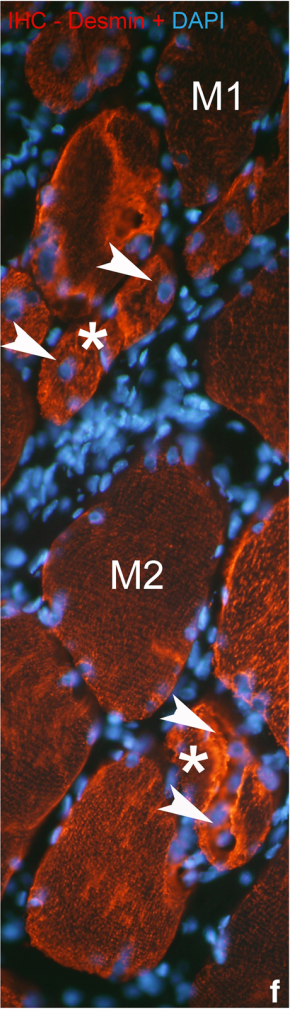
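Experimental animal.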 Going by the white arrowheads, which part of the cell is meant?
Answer: Internal nuclei.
